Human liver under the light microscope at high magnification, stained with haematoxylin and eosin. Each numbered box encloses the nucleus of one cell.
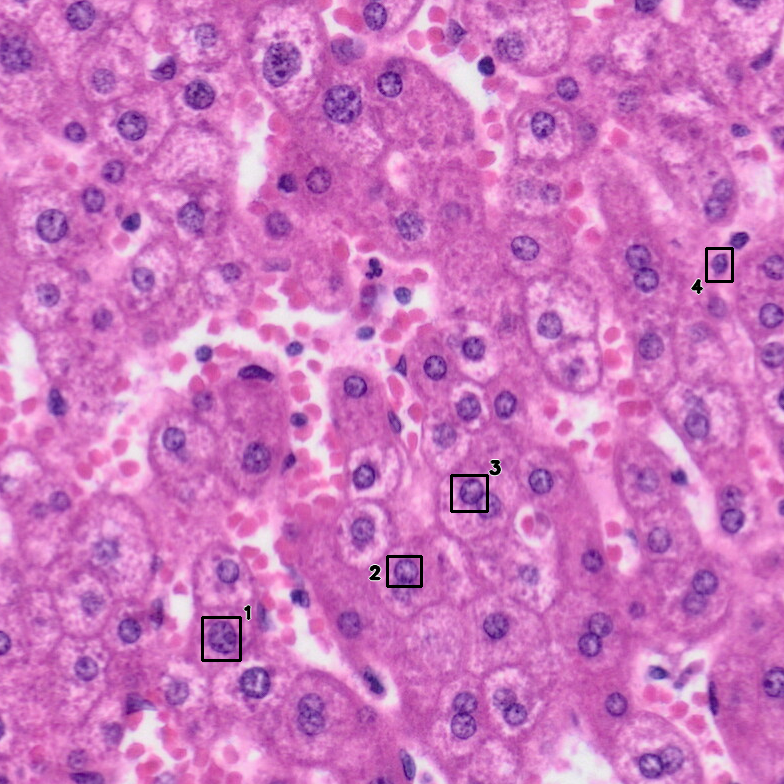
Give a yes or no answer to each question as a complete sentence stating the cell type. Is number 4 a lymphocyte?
Yes, number 4 marks a cell that is a lymphocyte.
